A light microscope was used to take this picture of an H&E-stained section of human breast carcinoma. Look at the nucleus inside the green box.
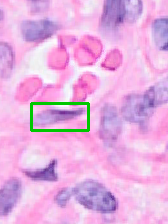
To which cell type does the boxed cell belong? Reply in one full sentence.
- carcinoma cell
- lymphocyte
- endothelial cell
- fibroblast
Histopathologically, the boxed cell is an endothelial cell.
